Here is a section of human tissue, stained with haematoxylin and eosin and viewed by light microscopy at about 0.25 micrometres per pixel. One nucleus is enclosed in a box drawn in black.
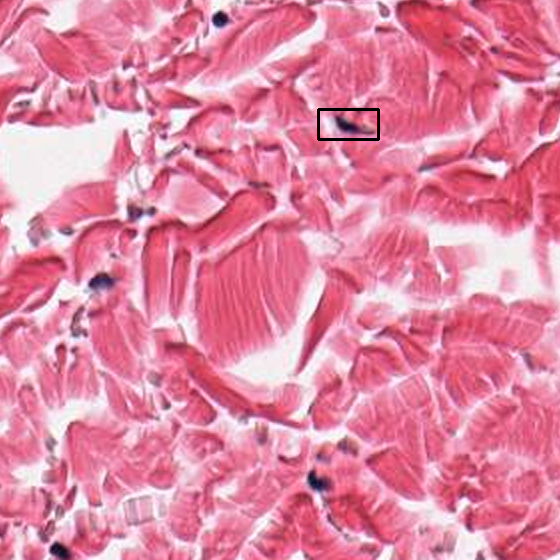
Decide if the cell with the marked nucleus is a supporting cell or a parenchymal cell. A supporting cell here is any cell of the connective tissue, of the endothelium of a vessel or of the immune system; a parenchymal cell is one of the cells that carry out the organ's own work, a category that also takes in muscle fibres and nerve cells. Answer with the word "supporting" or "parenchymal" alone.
supporting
